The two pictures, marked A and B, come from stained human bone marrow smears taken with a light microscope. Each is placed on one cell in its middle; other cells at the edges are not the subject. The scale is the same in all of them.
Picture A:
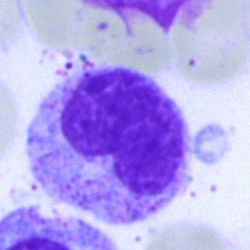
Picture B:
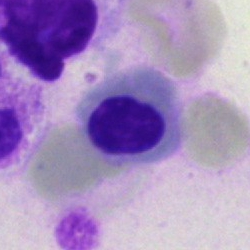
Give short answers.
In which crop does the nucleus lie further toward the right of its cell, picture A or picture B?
A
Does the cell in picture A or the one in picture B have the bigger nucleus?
A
